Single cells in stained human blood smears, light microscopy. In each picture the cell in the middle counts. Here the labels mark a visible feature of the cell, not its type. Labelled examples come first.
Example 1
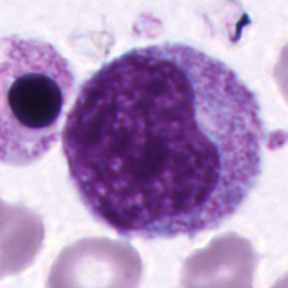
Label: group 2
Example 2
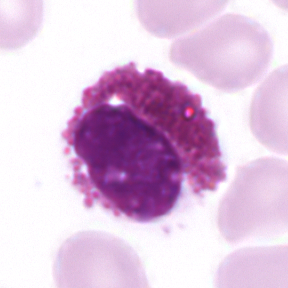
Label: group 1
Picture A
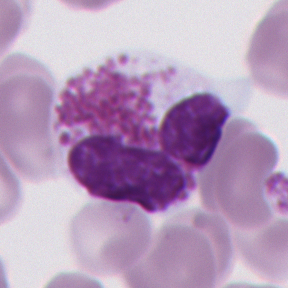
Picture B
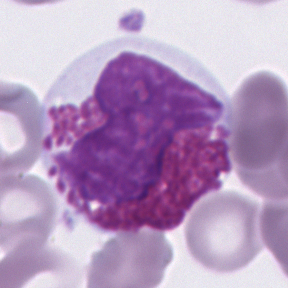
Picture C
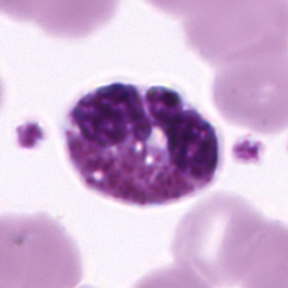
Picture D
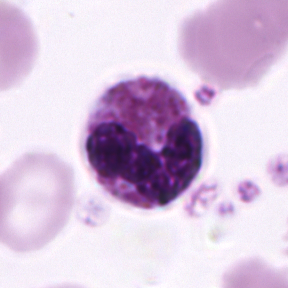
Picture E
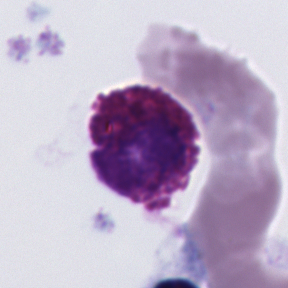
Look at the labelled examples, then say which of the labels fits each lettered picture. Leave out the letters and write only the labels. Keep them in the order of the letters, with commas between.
group 1, group 1, group 2, group 2, group 1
